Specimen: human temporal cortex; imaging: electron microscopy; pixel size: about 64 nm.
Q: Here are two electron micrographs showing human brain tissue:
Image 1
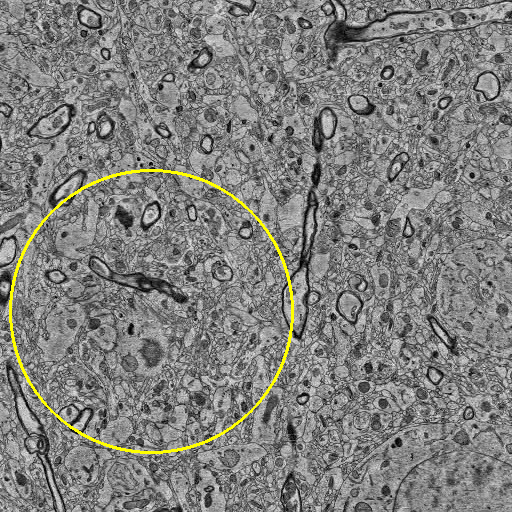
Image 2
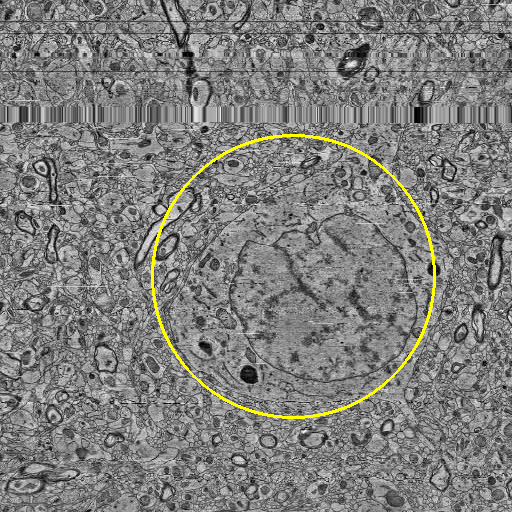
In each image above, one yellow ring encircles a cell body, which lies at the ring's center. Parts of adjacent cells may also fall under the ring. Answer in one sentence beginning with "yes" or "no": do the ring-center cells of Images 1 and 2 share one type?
No, in Images 1 and 2, the ring-center cells are of two types.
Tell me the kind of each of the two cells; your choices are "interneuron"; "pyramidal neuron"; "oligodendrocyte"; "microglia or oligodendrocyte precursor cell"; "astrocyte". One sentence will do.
The ringed cell is an oligodendrocyte in the first picture and a pyramidal neuron in the second picture.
